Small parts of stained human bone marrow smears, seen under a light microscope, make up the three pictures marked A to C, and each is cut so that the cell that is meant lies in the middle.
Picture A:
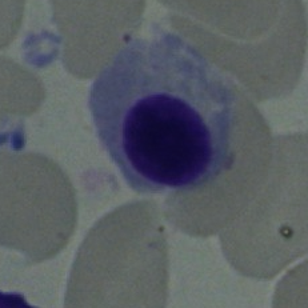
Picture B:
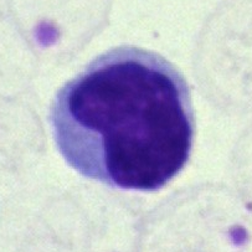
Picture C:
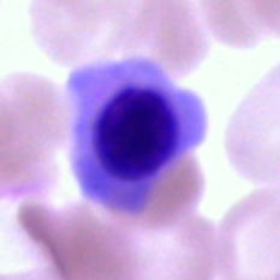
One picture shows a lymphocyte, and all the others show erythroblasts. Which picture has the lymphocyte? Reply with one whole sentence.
The lymphocyte is the one in picture B.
